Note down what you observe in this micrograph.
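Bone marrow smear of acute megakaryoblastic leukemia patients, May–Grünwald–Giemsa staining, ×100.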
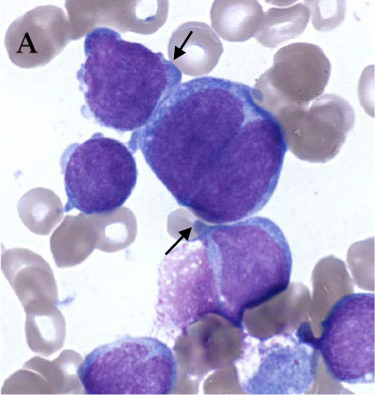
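Among pale pink red blood cells lie several large blast cells with big, round to lobed purple nuclei of fine chromatin and a thin rim of deep blue cytoplasm. One large cell in the middle has a nucleus divided into two closely apposed halves, giving it a two-nucleated look. At the borders of some cells, small rounded knobs of pale blue cytoplasm bulge outward like buds. Below, a cell with pinkish granular cytoplasm is seen.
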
